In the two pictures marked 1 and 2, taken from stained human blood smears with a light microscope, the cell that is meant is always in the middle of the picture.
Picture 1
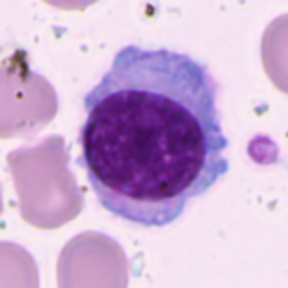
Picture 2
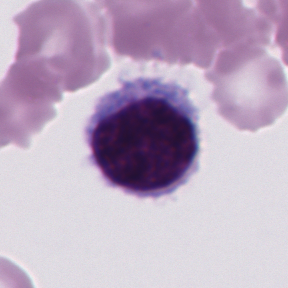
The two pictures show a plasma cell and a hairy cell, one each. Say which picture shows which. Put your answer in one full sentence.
In picture 1 the cell is a plasma cell; in picture 2, a hairy cell.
